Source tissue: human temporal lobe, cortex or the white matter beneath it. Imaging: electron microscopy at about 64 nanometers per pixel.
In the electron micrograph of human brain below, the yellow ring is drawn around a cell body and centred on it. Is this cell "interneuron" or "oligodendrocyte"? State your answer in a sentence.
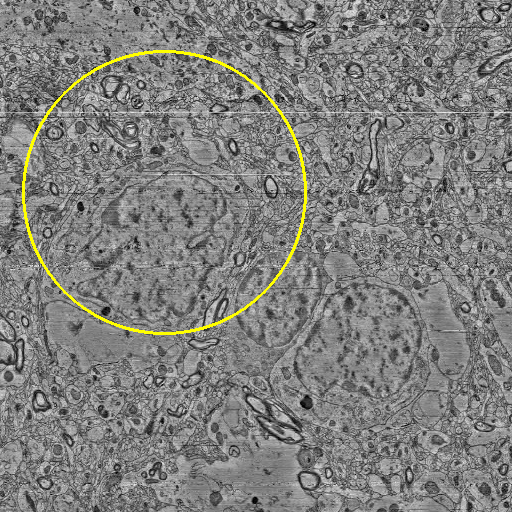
The cell in the middle of the ring is an interneuron.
